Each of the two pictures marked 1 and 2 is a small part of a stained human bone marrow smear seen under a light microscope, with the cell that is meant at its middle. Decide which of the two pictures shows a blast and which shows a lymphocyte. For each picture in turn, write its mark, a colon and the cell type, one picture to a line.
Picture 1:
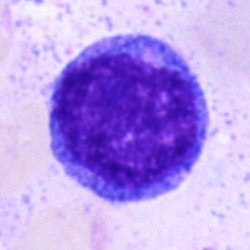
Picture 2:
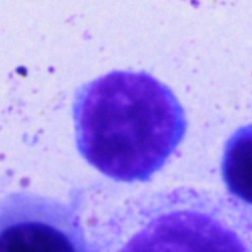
1: blast
2: lymphocyte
